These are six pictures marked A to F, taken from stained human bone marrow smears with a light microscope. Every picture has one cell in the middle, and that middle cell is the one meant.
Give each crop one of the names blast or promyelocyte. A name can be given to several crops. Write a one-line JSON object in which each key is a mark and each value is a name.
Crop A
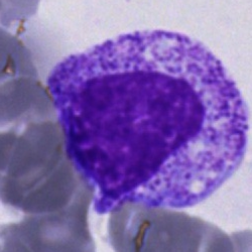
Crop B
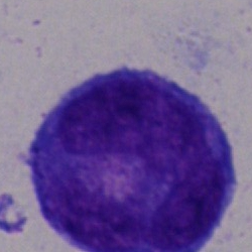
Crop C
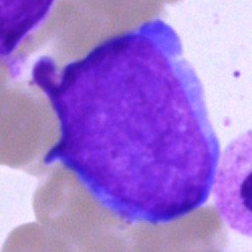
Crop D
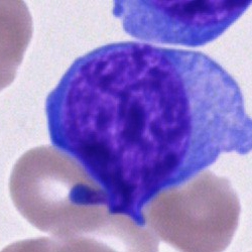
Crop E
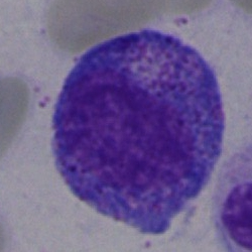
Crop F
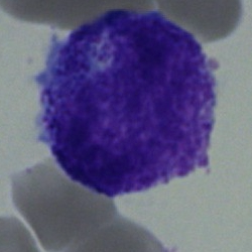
{"A": "promyelocyte", "B": "blast", "C": "blast", "D": "blast", "E": "promyelocyte", "F": "promyelocyte"}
